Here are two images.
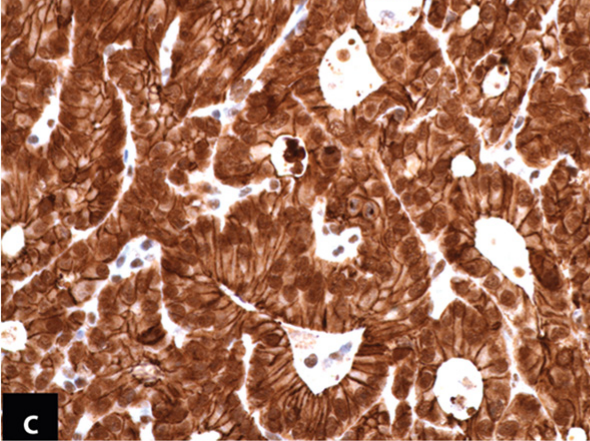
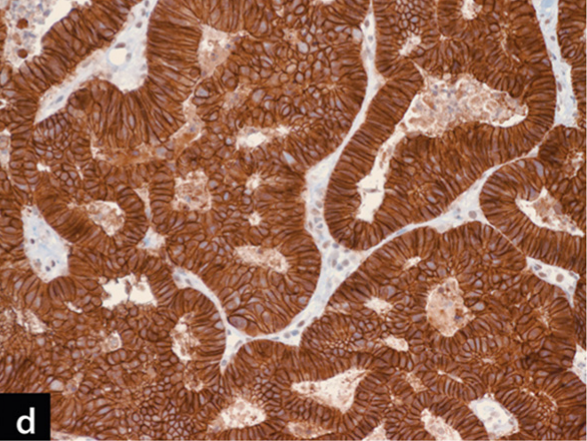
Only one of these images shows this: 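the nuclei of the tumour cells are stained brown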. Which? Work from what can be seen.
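Second image: brown stain is concentrated at cell borders and nuclei look paler than the outlines. First image: many round nuclei are solidly brown, as dark as or darker than the cytoplasm. The answer: the first image.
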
